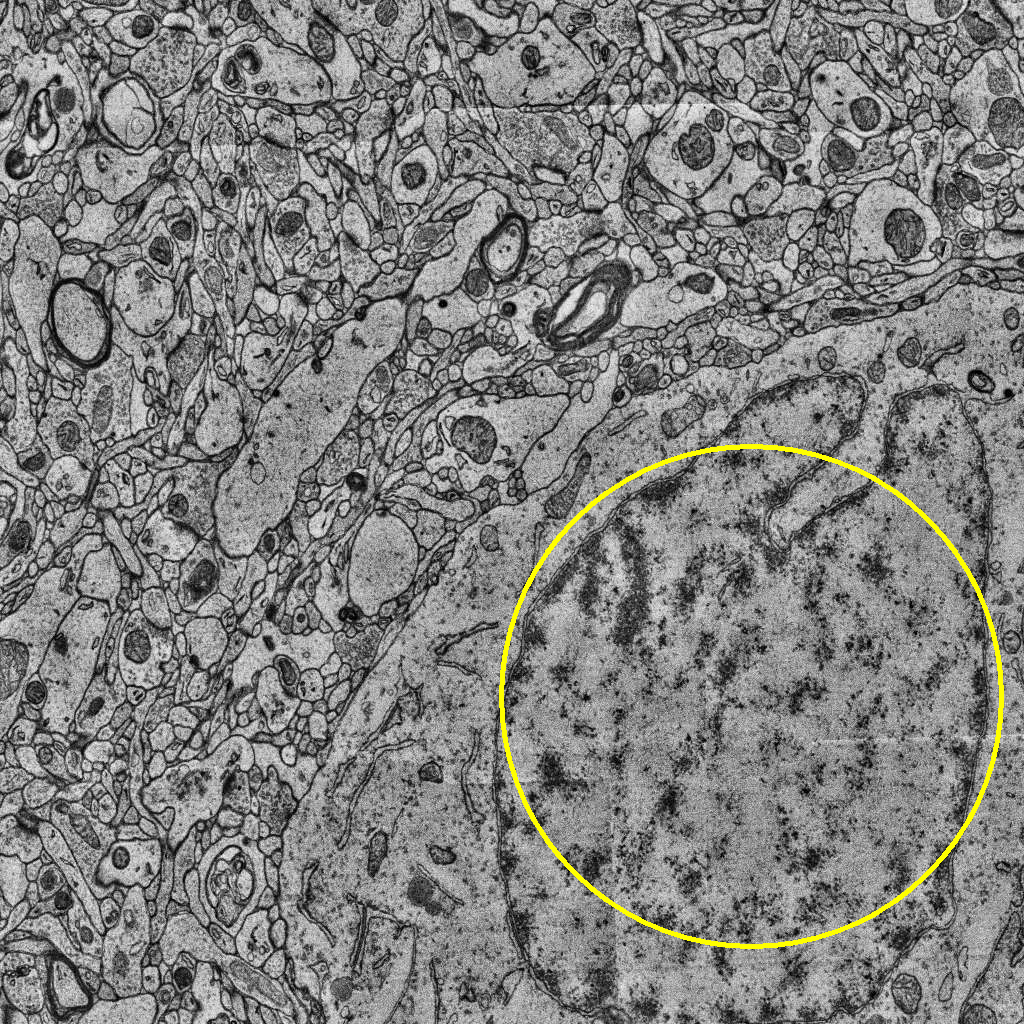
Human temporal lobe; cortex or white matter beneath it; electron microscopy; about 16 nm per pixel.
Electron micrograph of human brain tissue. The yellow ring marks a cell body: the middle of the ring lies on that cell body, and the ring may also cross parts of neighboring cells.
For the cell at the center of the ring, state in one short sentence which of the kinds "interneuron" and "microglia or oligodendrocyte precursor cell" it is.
This ring's center lies on an interneuron.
